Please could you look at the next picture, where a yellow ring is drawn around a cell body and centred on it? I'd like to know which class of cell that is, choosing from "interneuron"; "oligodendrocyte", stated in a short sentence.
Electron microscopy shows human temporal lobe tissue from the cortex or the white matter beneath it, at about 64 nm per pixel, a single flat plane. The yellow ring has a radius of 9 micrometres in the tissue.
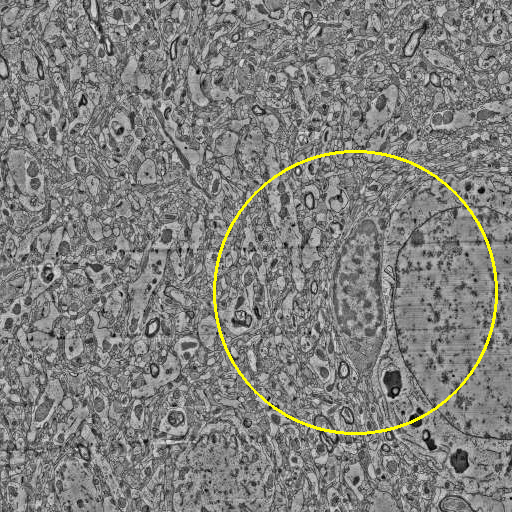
The ring's centre lies on an oligodendrocyte.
